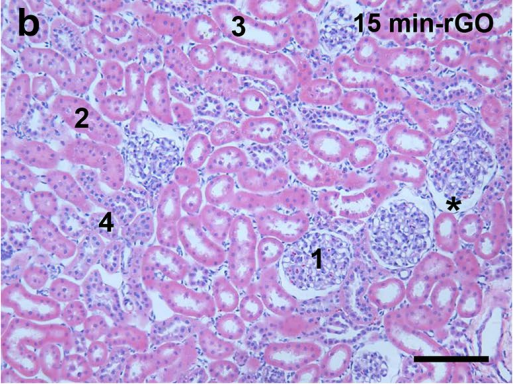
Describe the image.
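Renal cortex with several glomeruli and closely packed tubules. Glomeruli are round, cellular tufts of dark nuclei surrounded by a clear Bowman's space and thin capsule. Proximal tubules are lined by tall pink cells with round nuclei. Distal tubules have lower cells, more nuclei per profile and wider lumens. Paler collecting tubules lie among them. Interstitium is scant with few nuclei. Epithelium is intact, with no necrosis, casts or inflammatory infiltrate visible; the overall architecture matches normal cortex.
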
